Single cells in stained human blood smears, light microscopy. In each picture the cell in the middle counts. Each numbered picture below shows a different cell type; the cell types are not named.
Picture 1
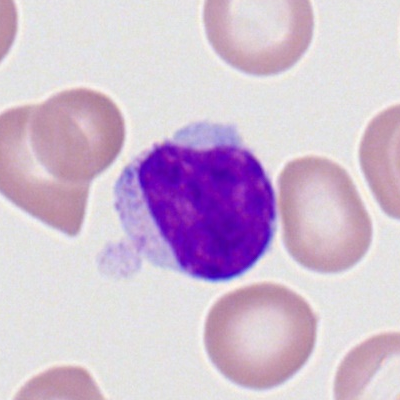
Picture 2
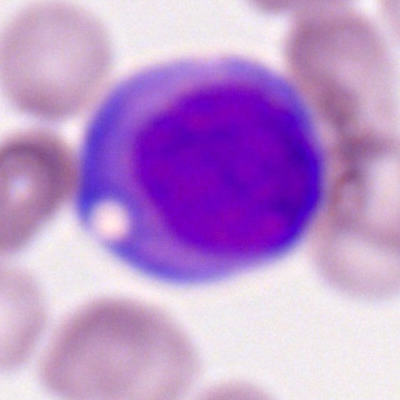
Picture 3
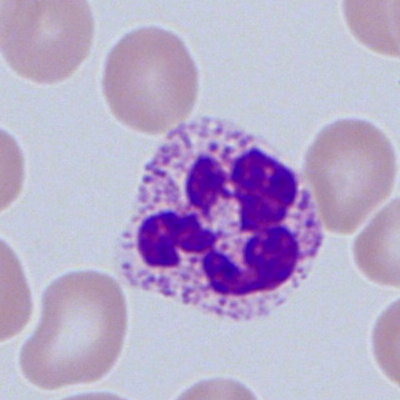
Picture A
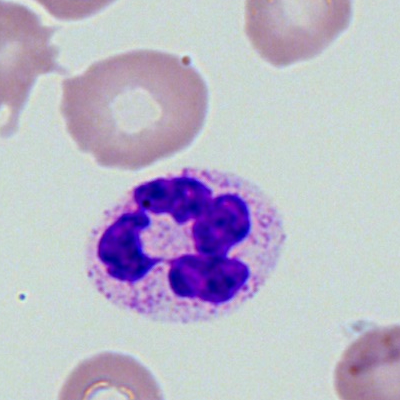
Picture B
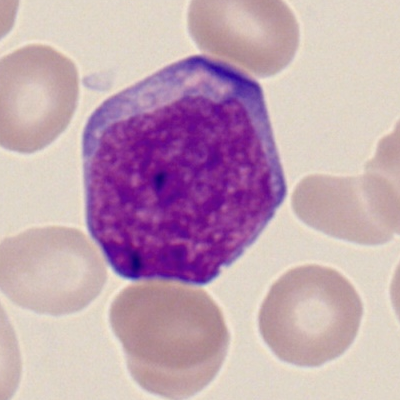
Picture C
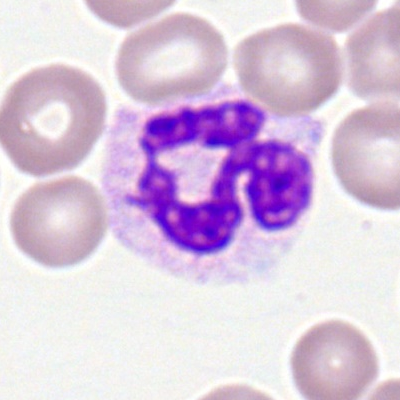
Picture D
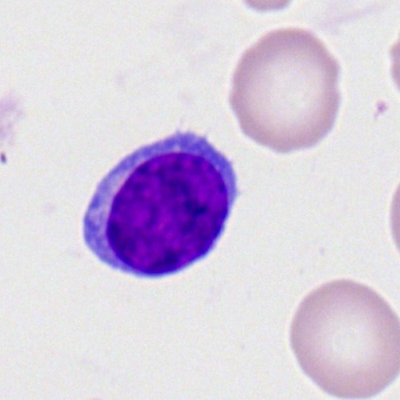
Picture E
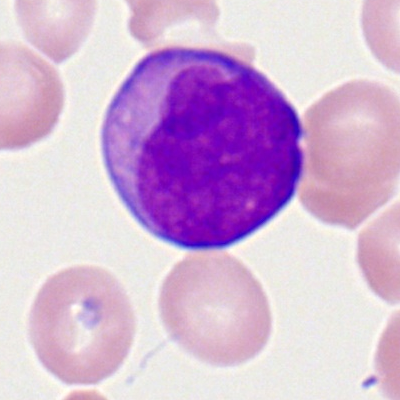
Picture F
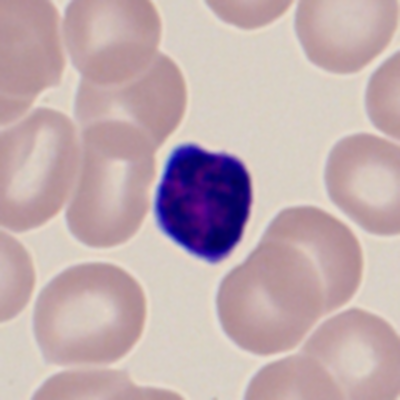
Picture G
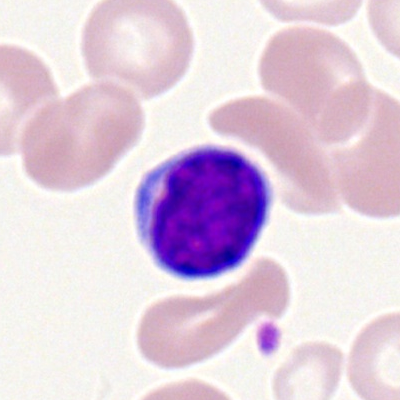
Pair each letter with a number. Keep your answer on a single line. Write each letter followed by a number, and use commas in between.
A 3, B 2, C 3, D 1, E 2, F 1, G 1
